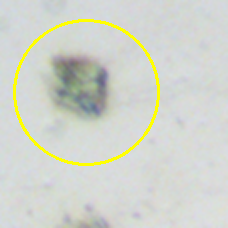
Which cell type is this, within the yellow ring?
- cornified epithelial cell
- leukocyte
Within the ring is a cornified epithelial cell.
